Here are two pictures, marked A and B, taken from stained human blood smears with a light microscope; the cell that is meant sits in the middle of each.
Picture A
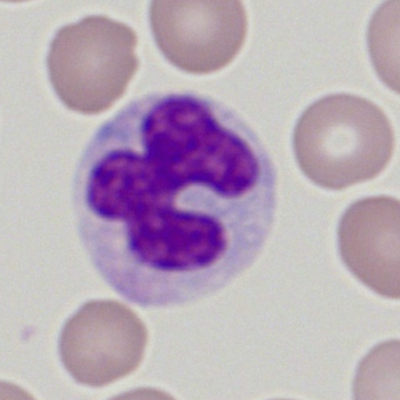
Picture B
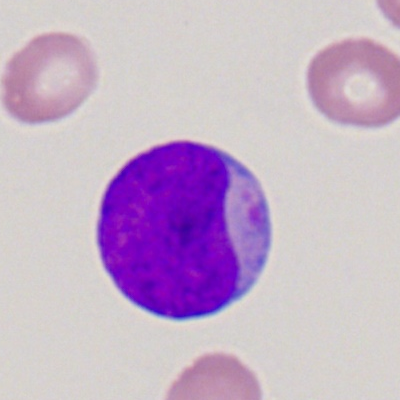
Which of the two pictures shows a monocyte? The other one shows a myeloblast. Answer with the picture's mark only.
A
